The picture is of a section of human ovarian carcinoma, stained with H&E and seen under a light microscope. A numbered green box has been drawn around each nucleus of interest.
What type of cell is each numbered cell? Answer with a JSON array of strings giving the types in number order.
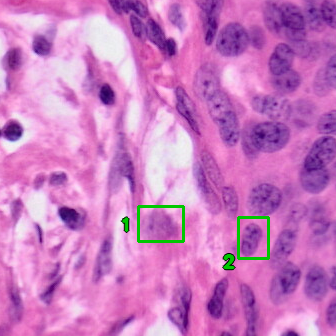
["fibroblast", "macrophage or monocyte"]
